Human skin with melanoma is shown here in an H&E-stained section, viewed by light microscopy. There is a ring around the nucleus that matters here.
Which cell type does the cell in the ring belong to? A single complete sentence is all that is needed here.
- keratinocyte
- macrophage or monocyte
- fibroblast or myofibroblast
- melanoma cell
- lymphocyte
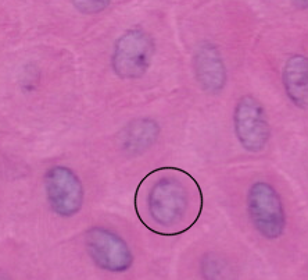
Among the cells in this section, the cell in the ring is a keratinocyte.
